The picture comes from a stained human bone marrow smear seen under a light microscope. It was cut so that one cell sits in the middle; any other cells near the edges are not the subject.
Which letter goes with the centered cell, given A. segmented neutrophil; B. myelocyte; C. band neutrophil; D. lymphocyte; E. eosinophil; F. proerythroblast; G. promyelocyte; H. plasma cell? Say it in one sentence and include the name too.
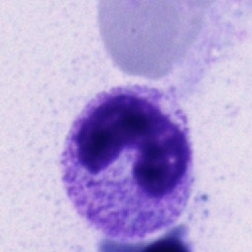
Occupying the middle of the crop is a band neutrophil, hence option C is correct.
